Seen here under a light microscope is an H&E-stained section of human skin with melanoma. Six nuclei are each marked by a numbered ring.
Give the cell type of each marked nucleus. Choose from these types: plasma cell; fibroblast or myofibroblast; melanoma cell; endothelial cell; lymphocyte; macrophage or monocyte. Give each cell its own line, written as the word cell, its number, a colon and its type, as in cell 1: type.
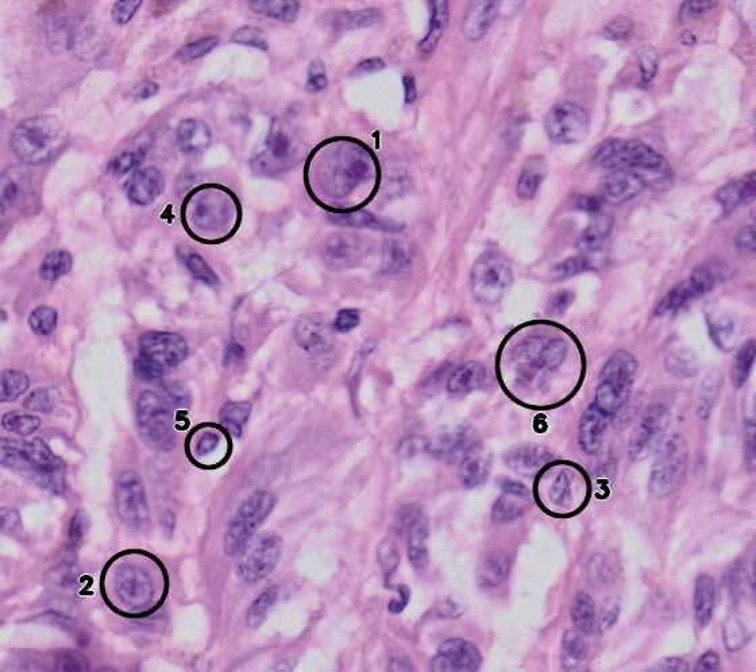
cell 1: melanoma cell
cell 2: melanoma cell
cell 3: macrophage or monocyte
cell 4: melanoma cell
cell 5: lymphocyte
cell 6: melanoma cell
